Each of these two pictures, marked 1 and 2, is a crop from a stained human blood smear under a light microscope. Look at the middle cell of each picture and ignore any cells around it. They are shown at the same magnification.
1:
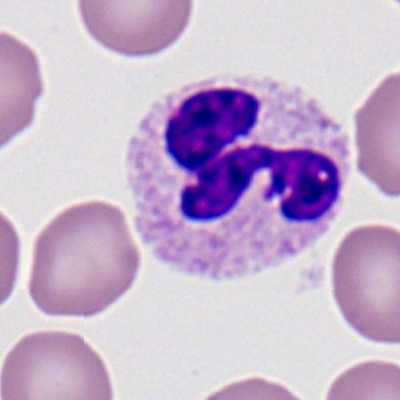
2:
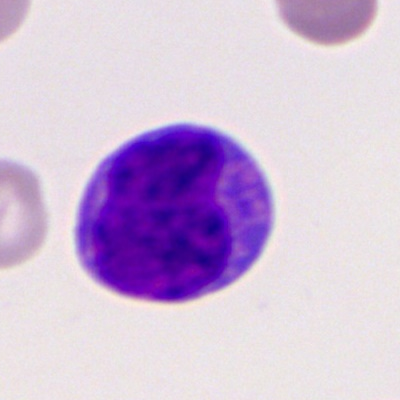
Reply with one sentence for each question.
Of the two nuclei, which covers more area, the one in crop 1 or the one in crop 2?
It is the nucleus in crop 2, about 1.5 times as large in area as the one in crop 1.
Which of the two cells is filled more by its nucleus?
It is the cell in crop 2 that is filled more by its nucleus.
